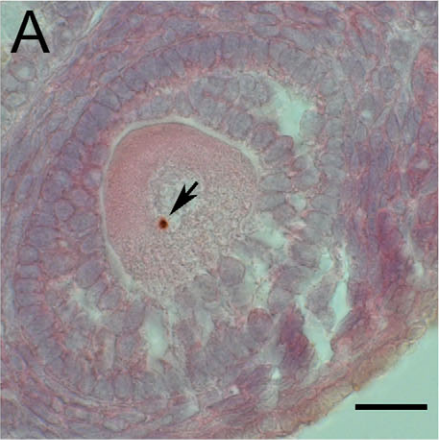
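This is an ovarian follicle with a large central oocyte surrounded by several concentric layers of small cuboidal granulosa cells. Some clefts separate groups of granulosa cells, and flattened cells form an outer rim.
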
